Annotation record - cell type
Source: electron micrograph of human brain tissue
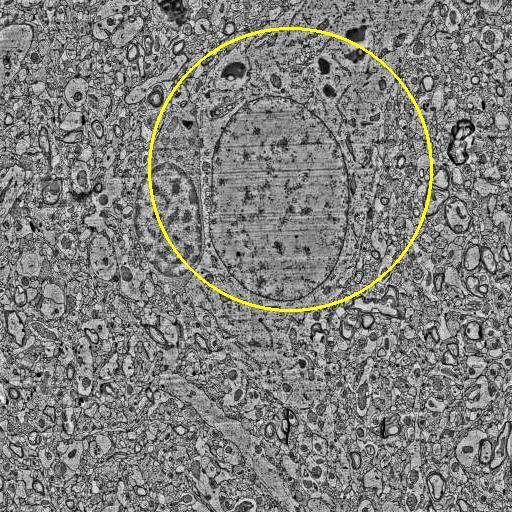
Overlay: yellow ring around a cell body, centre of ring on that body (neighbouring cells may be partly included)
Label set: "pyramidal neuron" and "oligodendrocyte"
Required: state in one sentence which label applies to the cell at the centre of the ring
This cell should be labelled as a pyramidal neuron.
